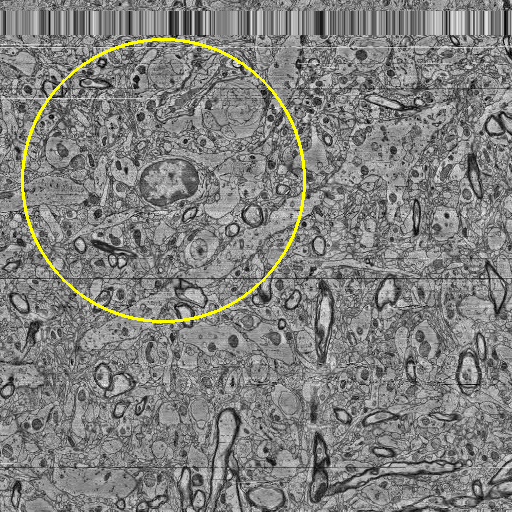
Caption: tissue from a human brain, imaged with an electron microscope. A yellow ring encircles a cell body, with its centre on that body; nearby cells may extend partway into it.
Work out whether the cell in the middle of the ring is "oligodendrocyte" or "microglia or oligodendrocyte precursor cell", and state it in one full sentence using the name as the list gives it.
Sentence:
In the picture, the cell that the yellow ring surrounds at its centre is a microglial cell or oligodendrocyte precursor cell.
